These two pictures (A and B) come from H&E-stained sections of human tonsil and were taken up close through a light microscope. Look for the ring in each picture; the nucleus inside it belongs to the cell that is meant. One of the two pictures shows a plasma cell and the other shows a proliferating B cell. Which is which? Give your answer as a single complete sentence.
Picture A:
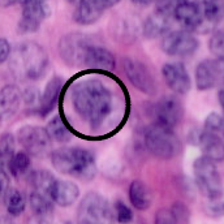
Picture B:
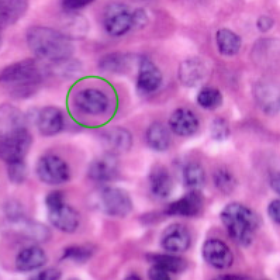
Picture B shows a plasma cell, while picture A shows a proliferating B cell.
